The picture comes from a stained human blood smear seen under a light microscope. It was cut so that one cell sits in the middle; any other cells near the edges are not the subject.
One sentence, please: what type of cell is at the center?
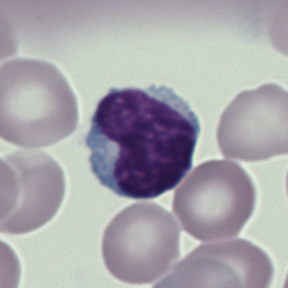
Here the centrally located cell is a typical lymphocyte.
